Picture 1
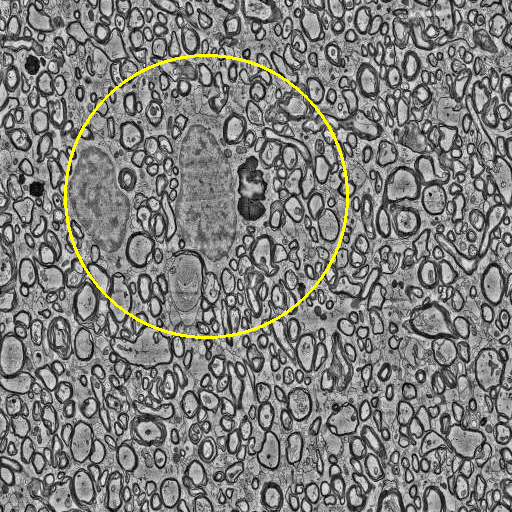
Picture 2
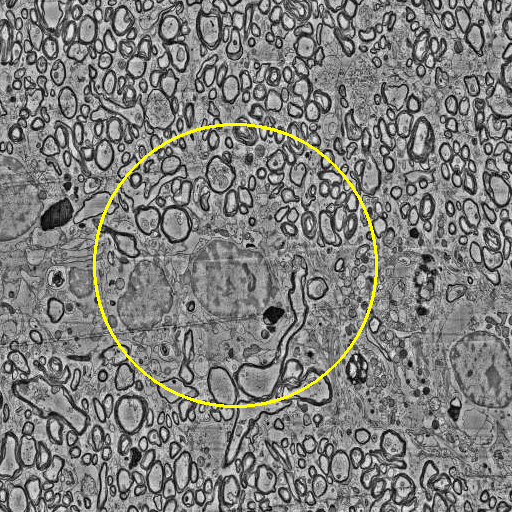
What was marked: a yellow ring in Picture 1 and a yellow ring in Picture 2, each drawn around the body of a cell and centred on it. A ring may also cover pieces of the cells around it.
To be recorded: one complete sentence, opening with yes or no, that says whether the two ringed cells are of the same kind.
Yes, the two ringed cells are of the same kind.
